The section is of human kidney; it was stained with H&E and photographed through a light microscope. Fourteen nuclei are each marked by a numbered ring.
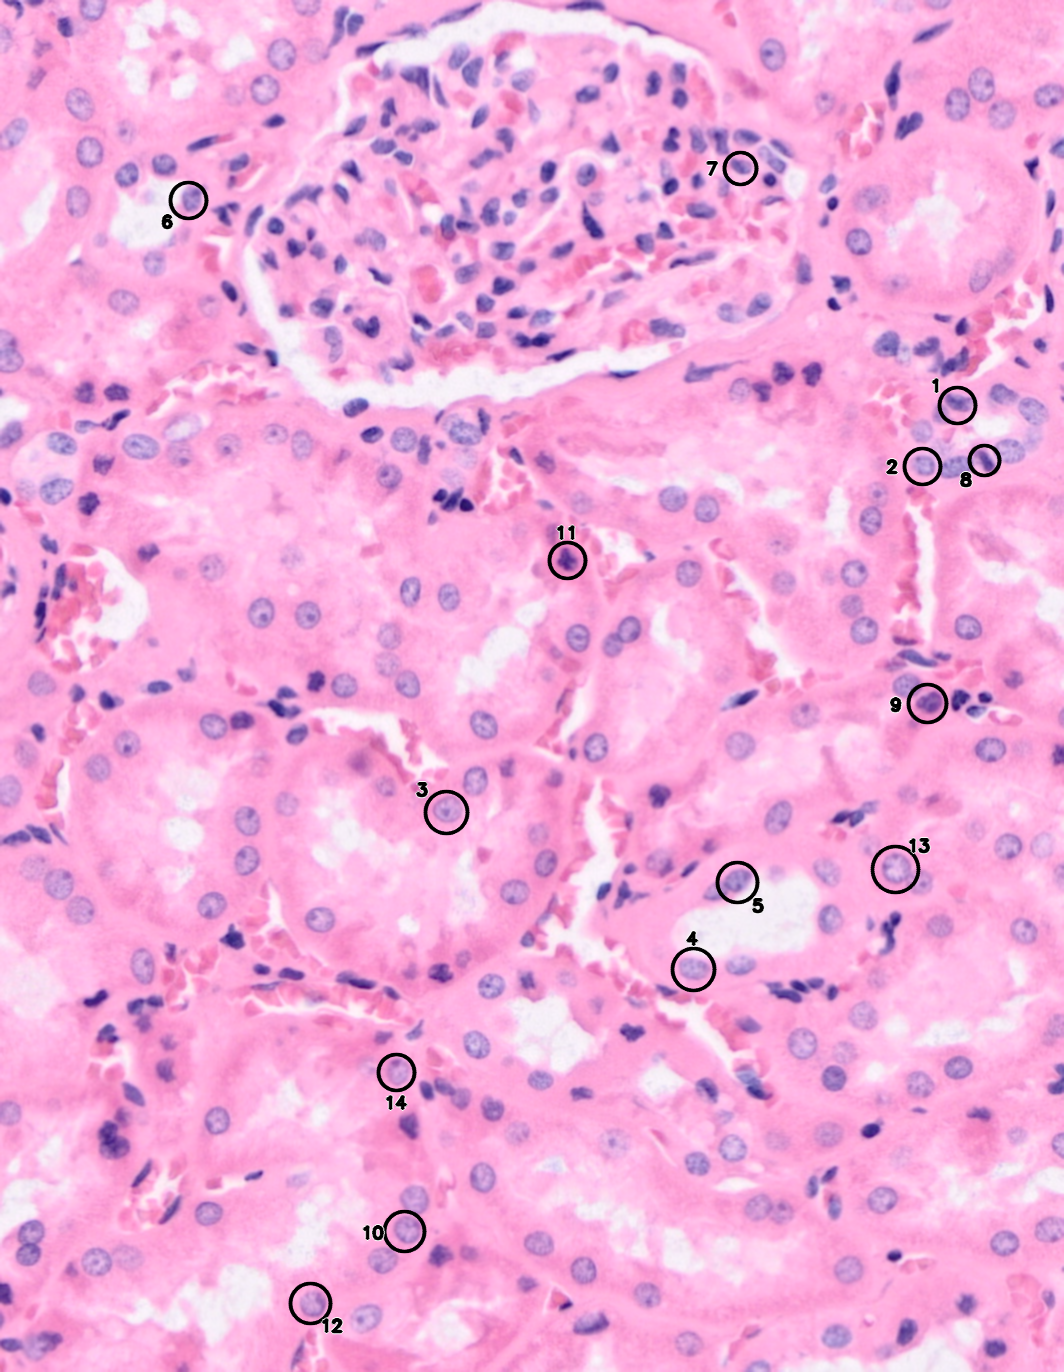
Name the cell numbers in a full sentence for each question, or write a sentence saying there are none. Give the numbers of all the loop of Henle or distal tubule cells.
Cells 4, 5 and 6 share one type; they are loop of Henle or distal tubule cells.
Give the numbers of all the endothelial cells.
It is only cell 7 that is an endothelial cell among the numbered cells.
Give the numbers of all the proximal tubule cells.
Regarding the numbered cells 3, 9, 10, 11, 12, 13 and 14, these are proximal tubule cells.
